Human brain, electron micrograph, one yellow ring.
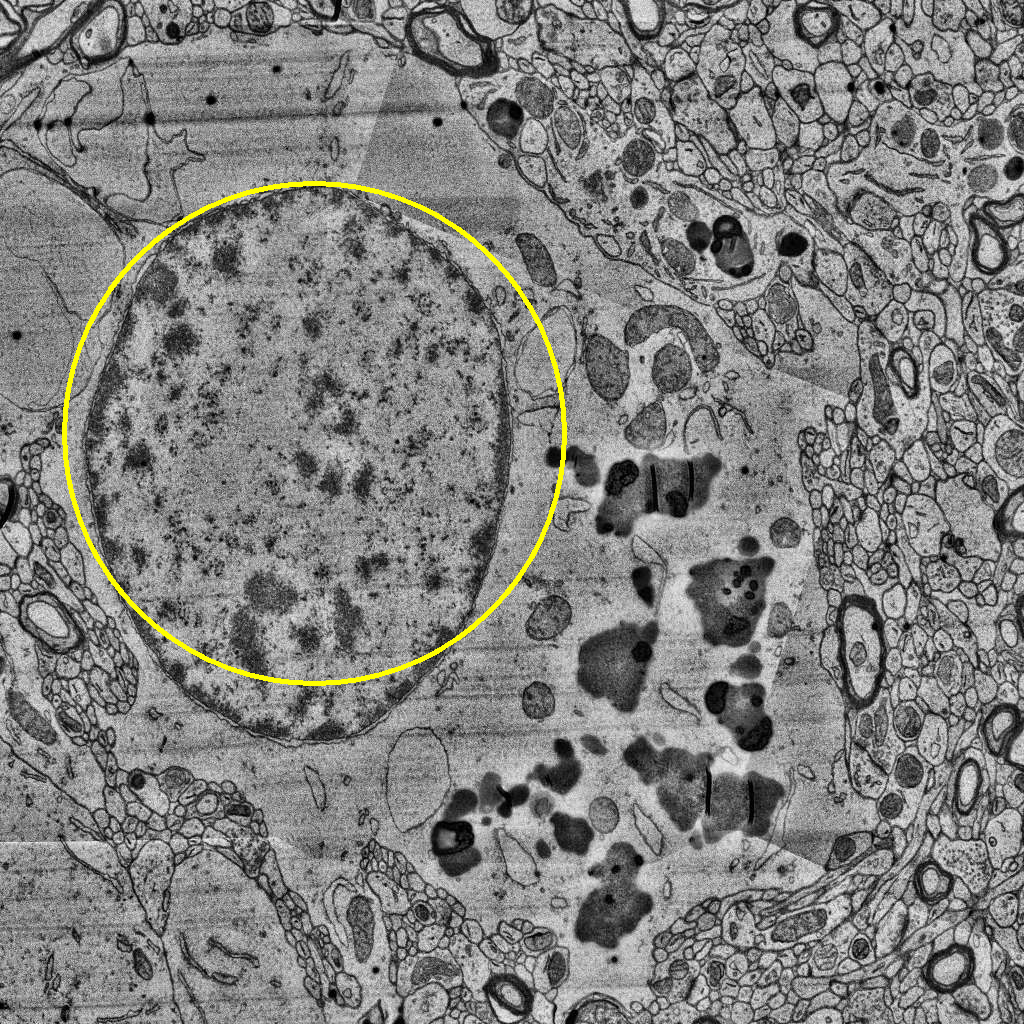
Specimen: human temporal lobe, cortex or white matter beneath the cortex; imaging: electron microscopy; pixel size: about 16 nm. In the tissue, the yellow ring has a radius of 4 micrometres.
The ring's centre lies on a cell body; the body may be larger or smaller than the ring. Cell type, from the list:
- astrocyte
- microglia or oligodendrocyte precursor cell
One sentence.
The yellow ring's centre lies on an astrocyte.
